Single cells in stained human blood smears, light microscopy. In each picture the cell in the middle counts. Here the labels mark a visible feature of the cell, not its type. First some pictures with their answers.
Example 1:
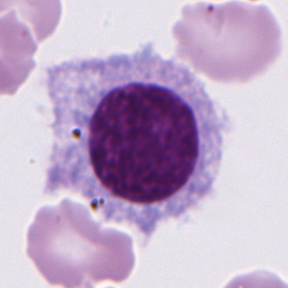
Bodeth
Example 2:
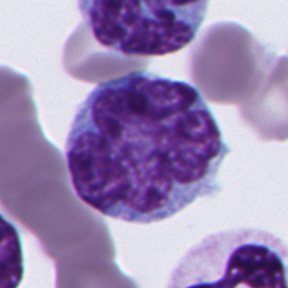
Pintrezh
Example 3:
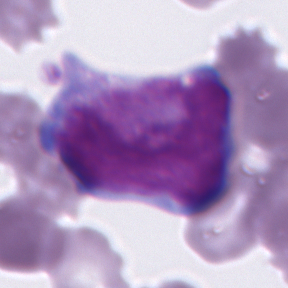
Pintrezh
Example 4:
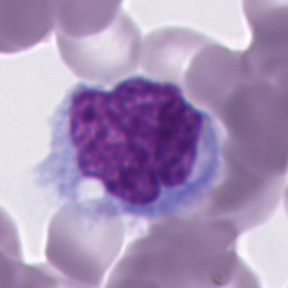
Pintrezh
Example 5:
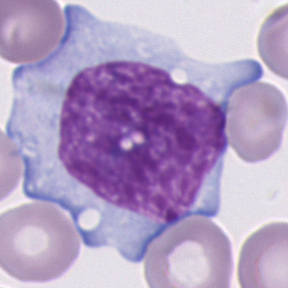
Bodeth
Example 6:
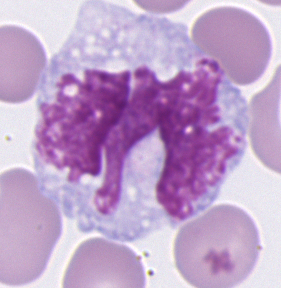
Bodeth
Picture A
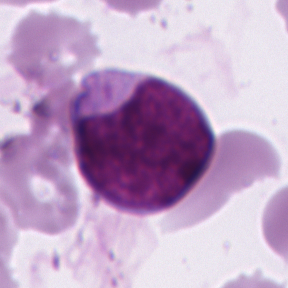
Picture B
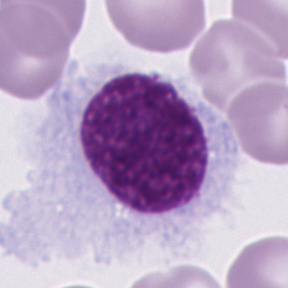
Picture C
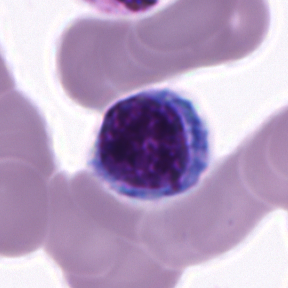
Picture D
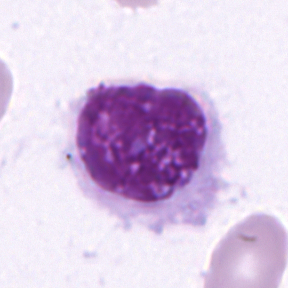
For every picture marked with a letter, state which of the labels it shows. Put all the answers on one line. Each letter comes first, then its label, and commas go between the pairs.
A Pintrezh, B Bodeth, C Pintrezh, D Pintrezh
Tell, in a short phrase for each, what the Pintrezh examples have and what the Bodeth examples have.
Seen in Pintrezh: scant cytoplasm; seen in Bodeth: abundant cytoplasm.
